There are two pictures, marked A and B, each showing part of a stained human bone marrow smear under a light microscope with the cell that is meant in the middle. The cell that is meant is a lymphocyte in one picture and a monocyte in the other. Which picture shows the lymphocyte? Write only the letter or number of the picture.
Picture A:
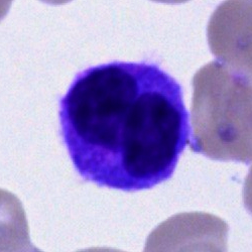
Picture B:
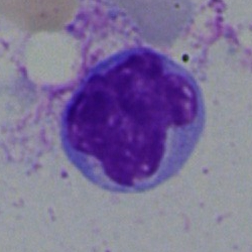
B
